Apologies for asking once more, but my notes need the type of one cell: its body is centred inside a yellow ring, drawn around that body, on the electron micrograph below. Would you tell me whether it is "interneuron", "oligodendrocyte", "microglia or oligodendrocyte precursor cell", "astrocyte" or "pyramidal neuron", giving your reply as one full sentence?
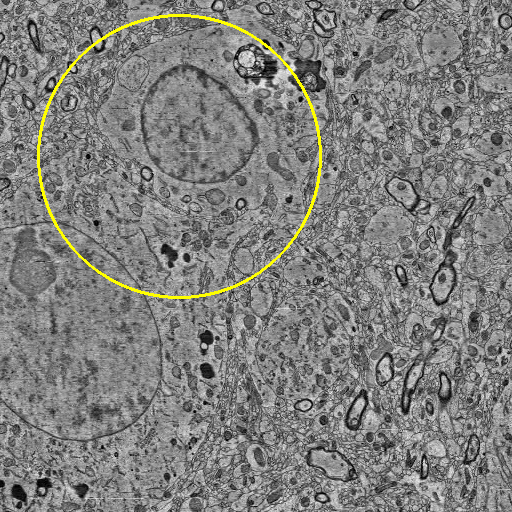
The cell that the yellow ring is centred on is an astrocyte in this micrograph.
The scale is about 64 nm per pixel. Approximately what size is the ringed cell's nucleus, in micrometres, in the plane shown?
About 8 by 7 micrometers, in this plane.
